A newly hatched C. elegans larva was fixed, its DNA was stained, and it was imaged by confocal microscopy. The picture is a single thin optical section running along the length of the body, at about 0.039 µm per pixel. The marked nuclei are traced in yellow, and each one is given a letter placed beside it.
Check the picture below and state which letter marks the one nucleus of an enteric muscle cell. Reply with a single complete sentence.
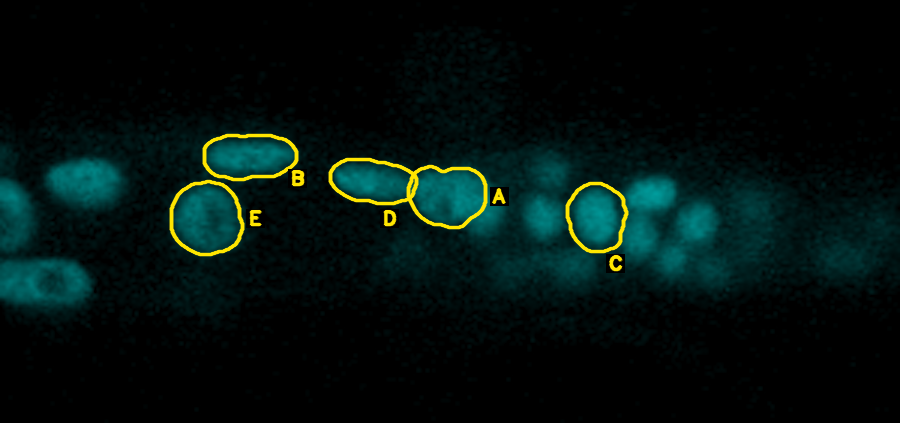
It is D that belongs to an enteric muscle cell.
